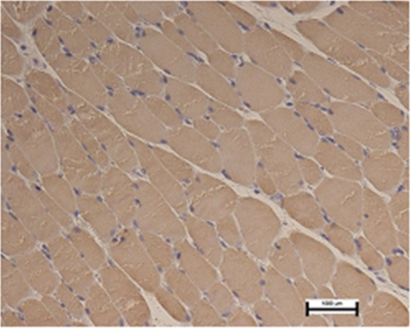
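The section shows skeletal muscle fibres cut across, polygonal and tightly packed, each filled with light brown stained cytoplasm. Their small, dark blue nuclei sit at the fibre margins. Pale bands of connective tissue cross the field diagonally, dividing the fibres into groups.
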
